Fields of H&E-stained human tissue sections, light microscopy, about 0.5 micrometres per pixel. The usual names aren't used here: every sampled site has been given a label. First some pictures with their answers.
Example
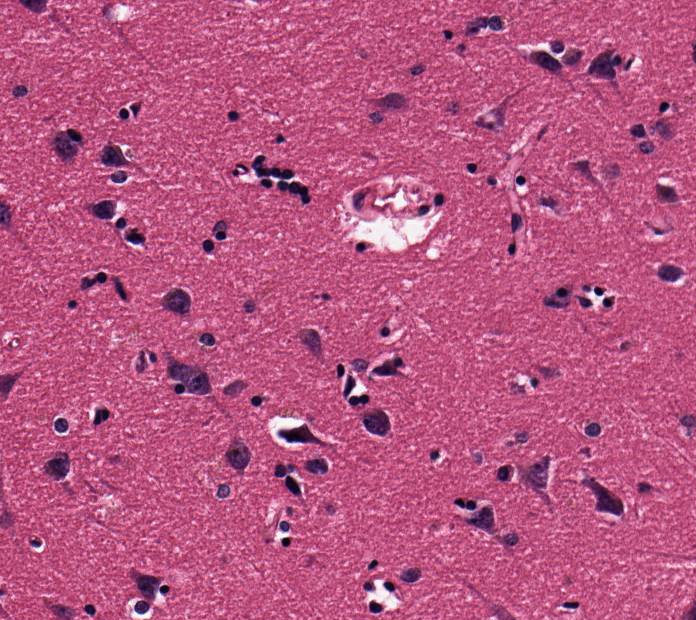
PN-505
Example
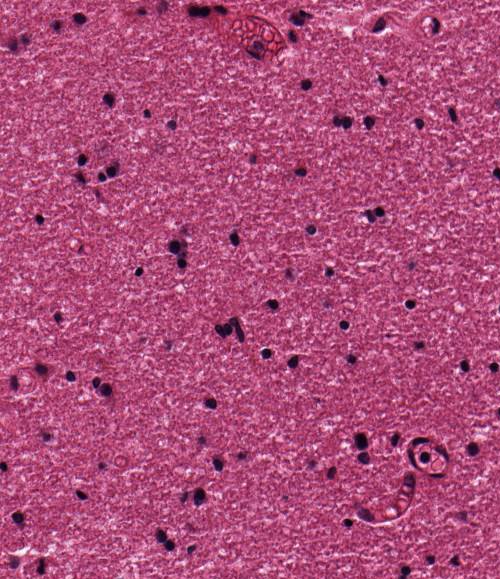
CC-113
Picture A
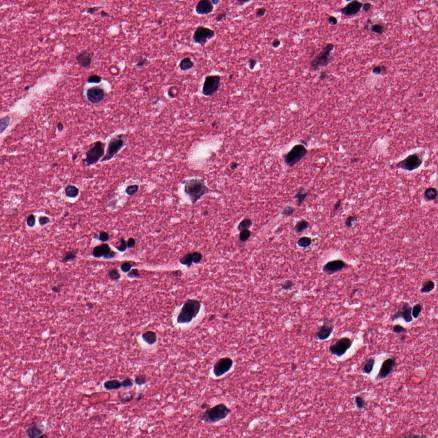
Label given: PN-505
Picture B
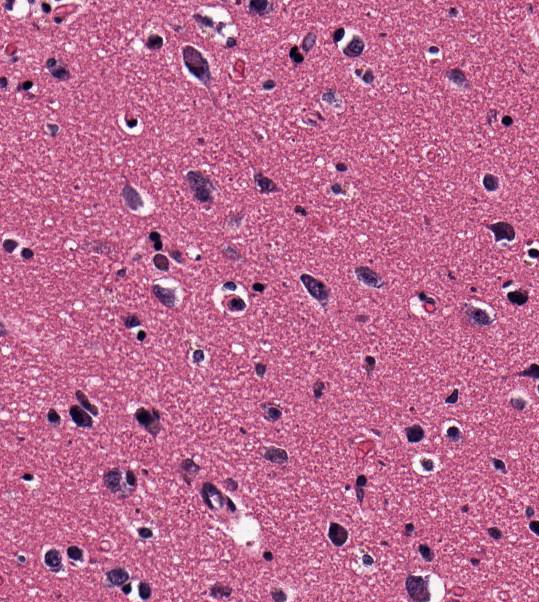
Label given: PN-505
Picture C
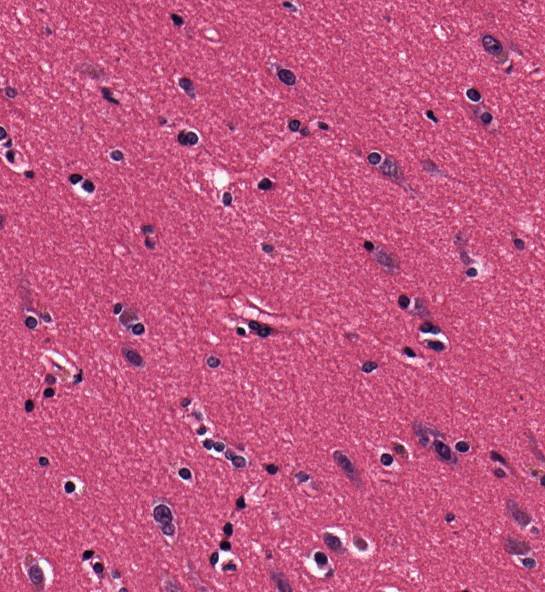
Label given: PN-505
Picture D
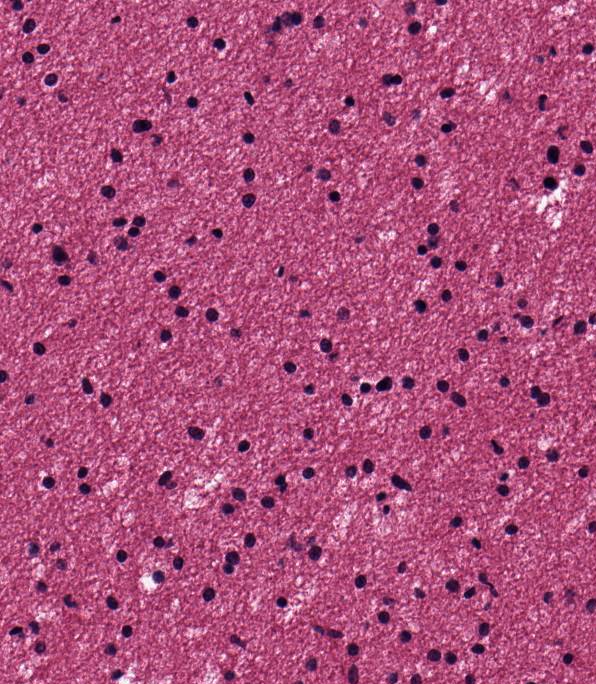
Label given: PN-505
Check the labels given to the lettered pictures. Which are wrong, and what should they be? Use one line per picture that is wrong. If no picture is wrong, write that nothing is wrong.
Every label is right.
